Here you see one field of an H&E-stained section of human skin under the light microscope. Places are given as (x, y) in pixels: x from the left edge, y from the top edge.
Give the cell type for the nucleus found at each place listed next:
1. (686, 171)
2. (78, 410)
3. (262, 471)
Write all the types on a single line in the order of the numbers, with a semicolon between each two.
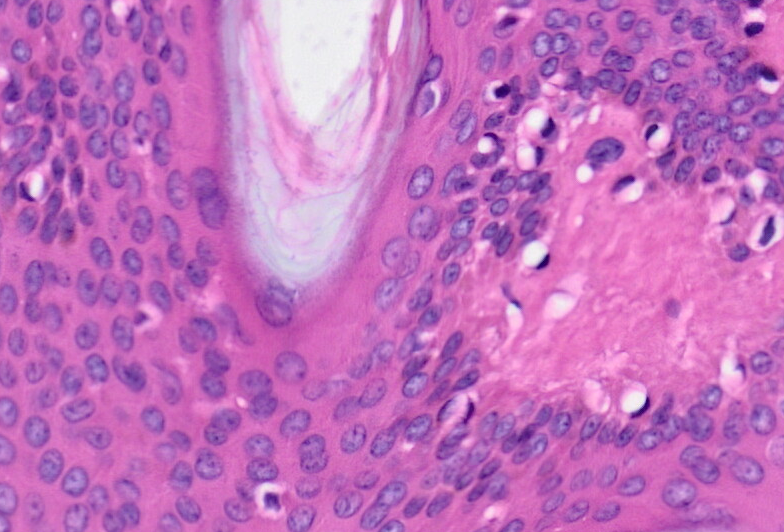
basal keratinocyte; suprabasal keratinocyte; suprabasal keratinocyte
